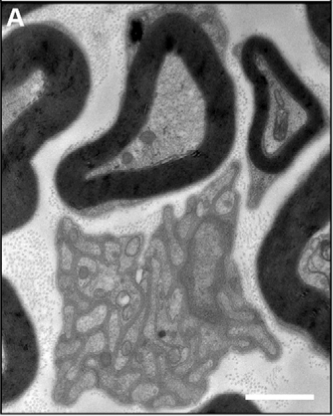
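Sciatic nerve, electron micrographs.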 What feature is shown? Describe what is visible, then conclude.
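A cluster of many small pale axon profiles lies in the lower half of the panel. These small axons have no dark myelin sheath and are wrapped together in shared grey cytoplasm. That points to this answer: Remak bundles.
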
